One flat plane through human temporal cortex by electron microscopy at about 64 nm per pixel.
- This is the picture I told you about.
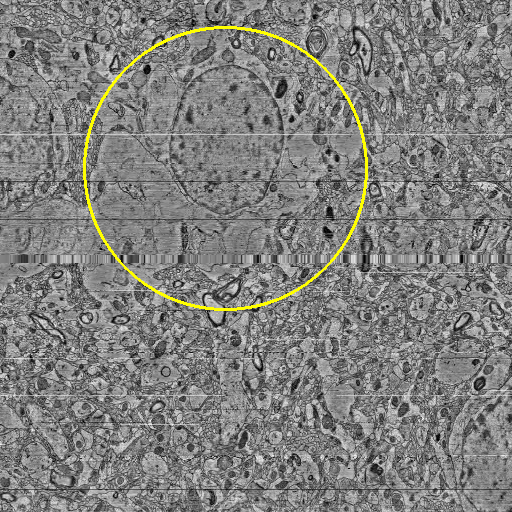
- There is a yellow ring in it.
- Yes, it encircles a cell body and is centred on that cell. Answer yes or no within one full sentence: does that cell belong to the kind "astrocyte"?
Yes, that cell, the one the yellow ring is centred on, belongs to this kind.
